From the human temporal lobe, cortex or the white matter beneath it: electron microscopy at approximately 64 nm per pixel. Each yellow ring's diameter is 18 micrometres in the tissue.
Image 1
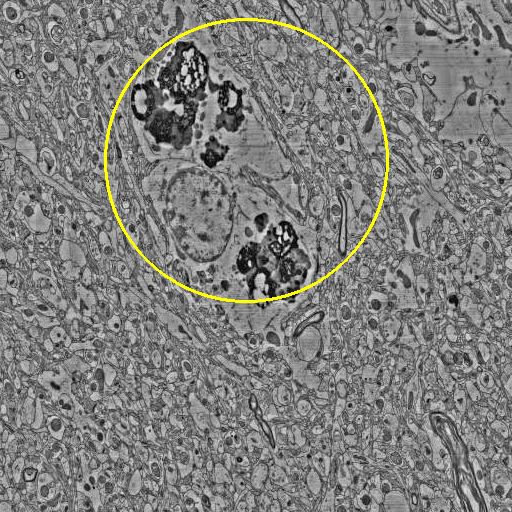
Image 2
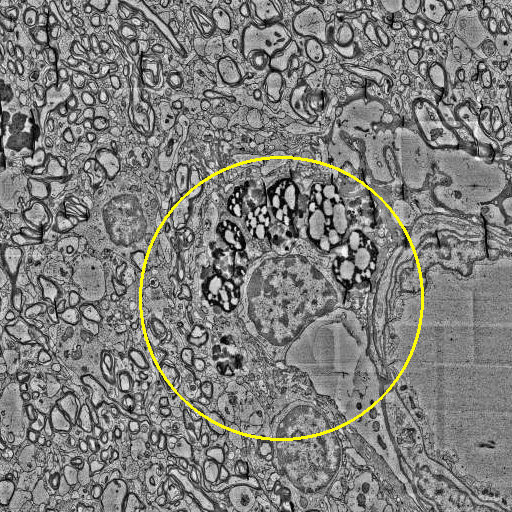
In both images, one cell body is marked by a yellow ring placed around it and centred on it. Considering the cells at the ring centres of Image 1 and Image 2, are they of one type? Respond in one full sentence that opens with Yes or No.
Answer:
No, two types apply to the ring-centred cells of Image 1 and Image 2.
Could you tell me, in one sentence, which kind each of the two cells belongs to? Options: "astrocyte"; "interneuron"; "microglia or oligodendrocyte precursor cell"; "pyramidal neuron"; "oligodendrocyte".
At the centre of the first ring sits an astrocyte, and at the centre of the second sits a microglial cell or oligodendrocyte precursor cell.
